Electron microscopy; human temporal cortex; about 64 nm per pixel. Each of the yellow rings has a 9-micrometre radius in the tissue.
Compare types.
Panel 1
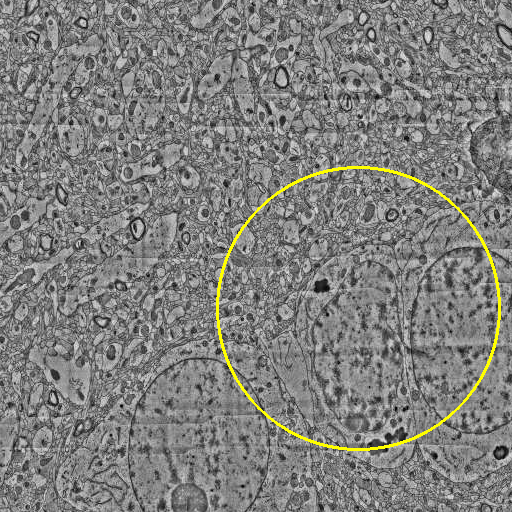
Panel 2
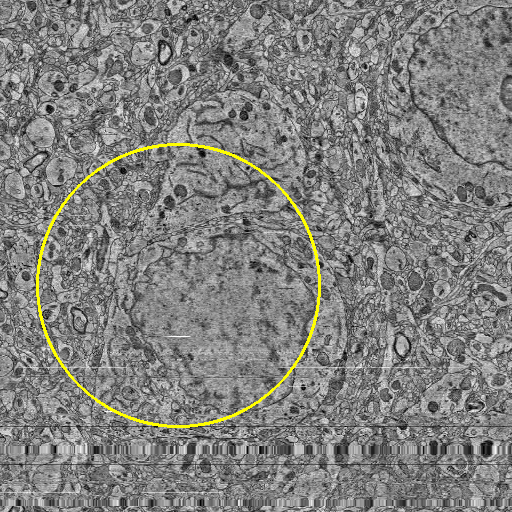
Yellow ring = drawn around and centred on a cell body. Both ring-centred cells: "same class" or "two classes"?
same class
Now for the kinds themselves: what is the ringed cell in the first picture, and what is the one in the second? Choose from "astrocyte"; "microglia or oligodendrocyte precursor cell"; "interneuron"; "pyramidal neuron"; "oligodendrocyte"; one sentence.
The ring centre holds an interneuron in each of the two pictures.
